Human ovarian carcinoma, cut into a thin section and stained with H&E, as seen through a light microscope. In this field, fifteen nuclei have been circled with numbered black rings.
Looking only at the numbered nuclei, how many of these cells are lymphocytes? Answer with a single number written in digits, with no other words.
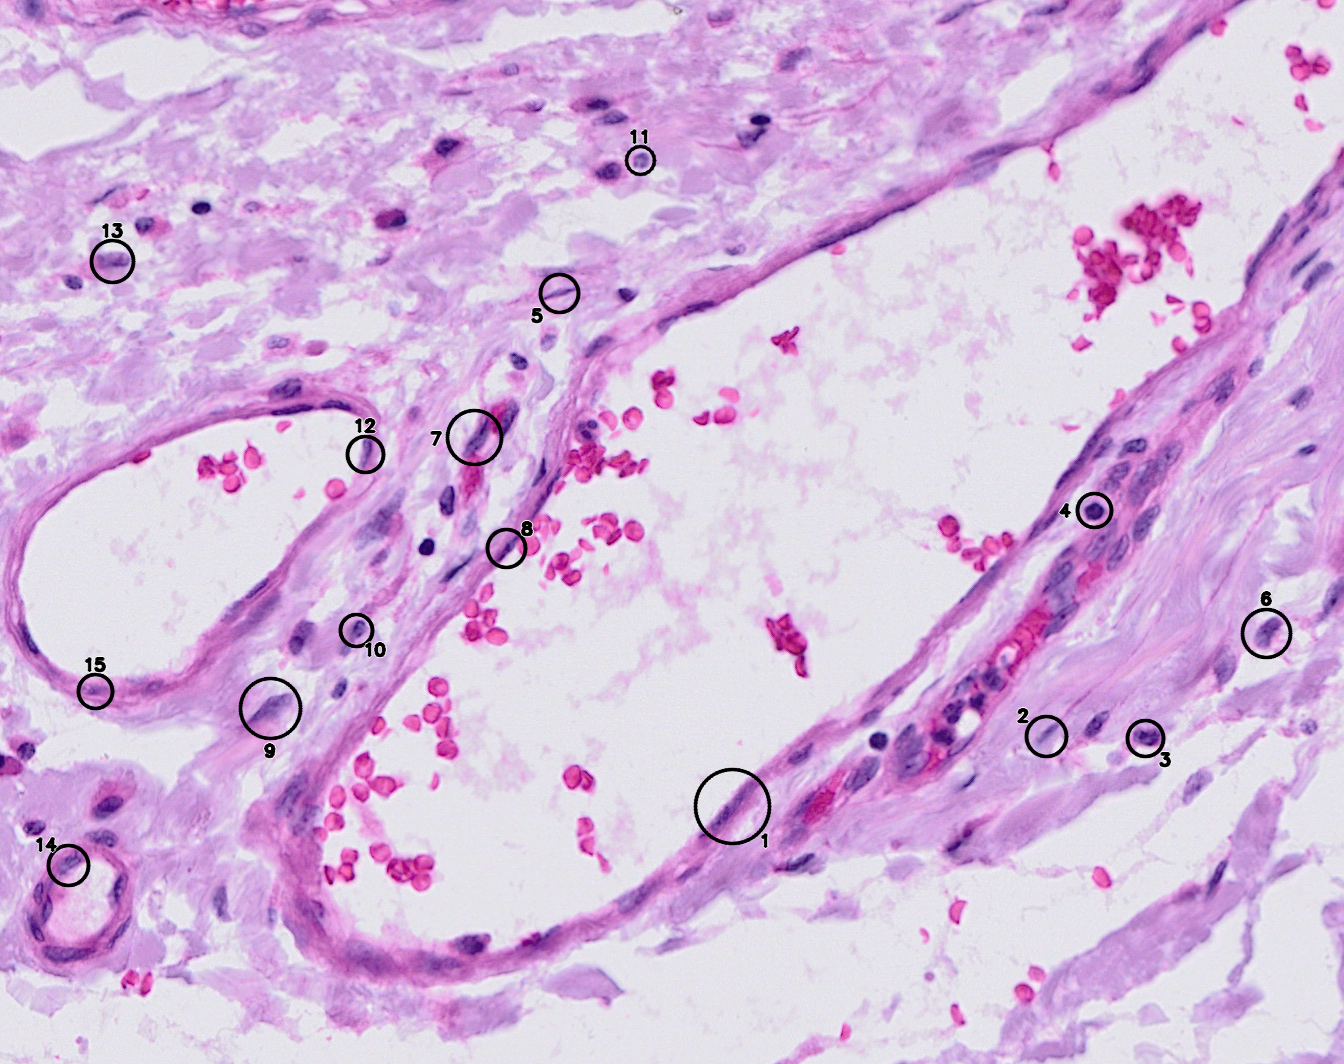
3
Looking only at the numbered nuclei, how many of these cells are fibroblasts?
4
